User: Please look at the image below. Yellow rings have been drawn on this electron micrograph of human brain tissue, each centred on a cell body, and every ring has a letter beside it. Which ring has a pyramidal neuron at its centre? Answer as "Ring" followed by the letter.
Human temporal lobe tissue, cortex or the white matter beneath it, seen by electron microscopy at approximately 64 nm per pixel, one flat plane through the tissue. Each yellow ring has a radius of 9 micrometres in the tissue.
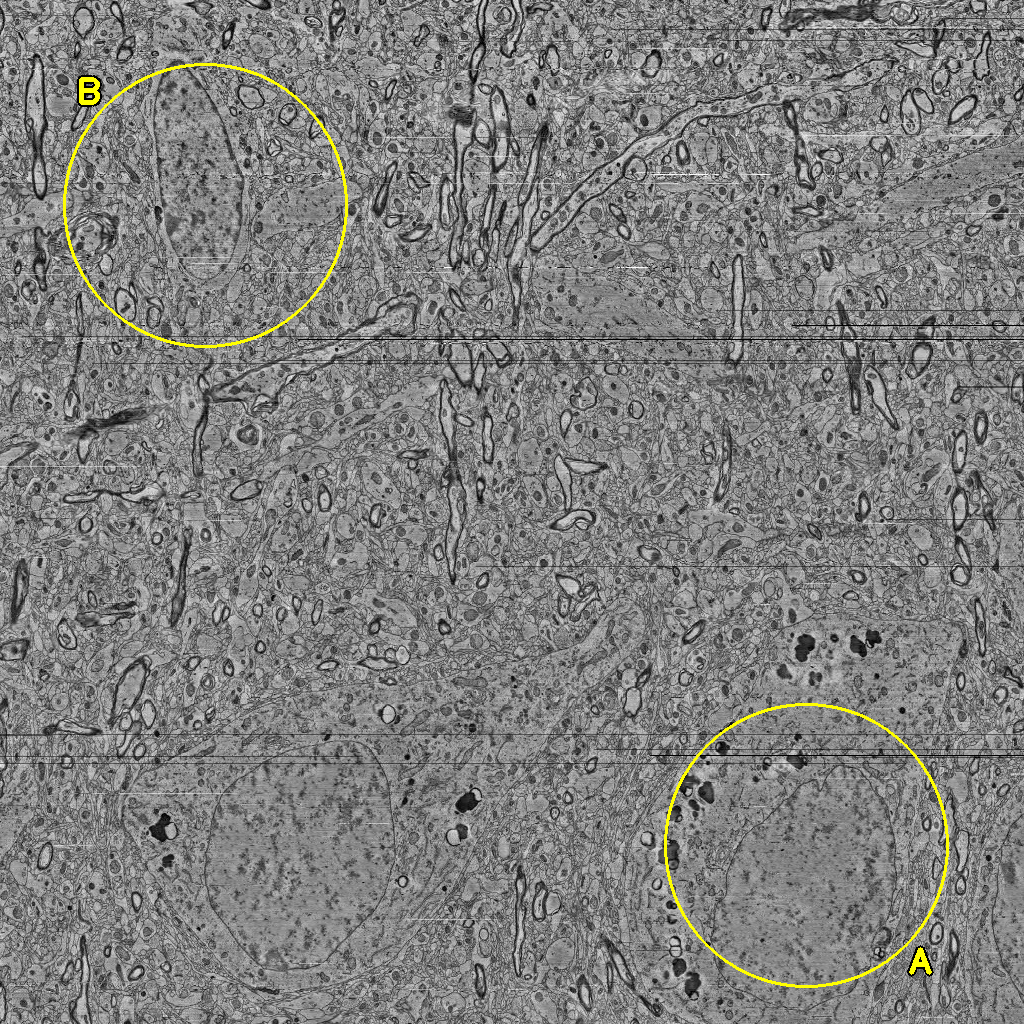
Ring A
